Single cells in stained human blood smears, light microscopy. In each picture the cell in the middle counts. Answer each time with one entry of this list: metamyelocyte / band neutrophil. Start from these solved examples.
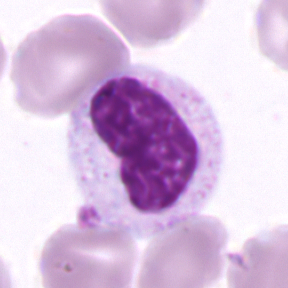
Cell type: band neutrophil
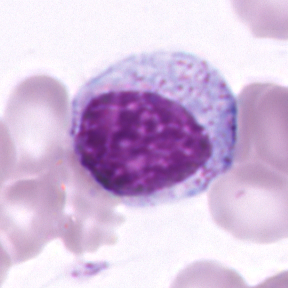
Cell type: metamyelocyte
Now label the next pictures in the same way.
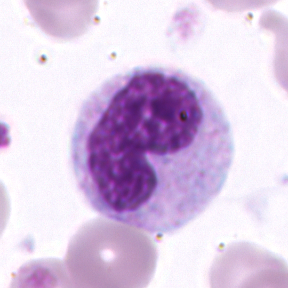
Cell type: band neutrophil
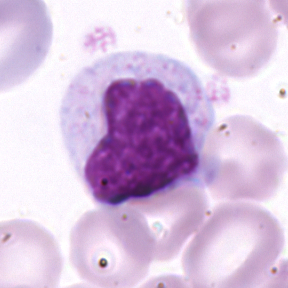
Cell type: metamyelocyte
